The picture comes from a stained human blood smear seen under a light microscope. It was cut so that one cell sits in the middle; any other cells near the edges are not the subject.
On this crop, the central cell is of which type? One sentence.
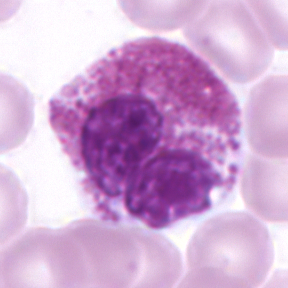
Centred in the crop is an eosinophil.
